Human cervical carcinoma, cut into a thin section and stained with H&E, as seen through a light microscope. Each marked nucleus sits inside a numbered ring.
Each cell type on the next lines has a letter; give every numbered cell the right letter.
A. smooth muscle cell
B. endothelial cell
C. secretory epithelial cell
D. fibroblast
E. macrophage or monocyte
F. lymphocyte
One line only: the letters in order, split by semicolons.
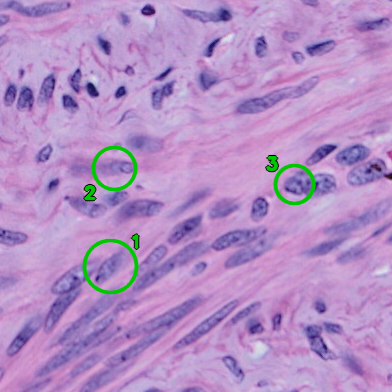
A; A; B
